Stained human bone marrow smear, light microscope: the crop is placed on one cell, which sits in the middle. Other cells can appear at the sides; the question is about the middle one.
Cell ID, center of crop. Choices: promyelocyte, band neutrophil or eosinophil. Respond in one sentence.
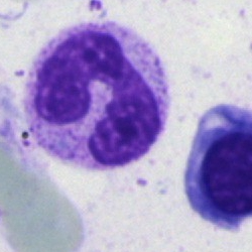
The centered cell in this crop is a band neutrophil.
